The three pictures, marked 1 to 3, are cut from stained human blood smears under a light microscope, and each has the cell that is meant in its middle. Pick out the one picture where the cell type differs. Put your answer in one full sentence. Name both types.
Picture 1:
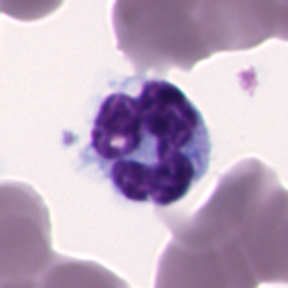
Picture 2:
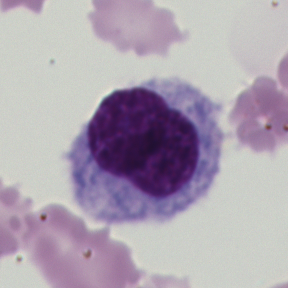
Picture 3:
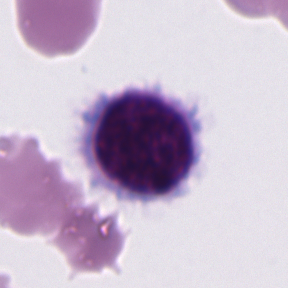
Picture 1 differs, because its cell is a monocyte and the rest are hairy cells.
